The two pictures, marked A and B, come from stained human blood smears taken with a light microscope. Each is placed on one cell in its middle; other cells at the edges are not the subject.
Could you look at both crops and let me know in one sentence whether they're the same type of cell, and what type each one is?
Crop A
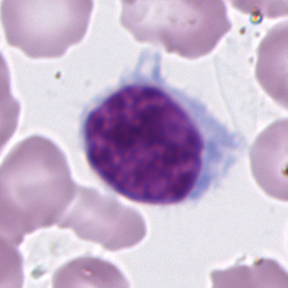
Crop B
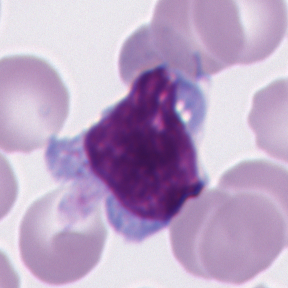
No, crop A presents a hairy cell; crop B presents a typical lymphocyte.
